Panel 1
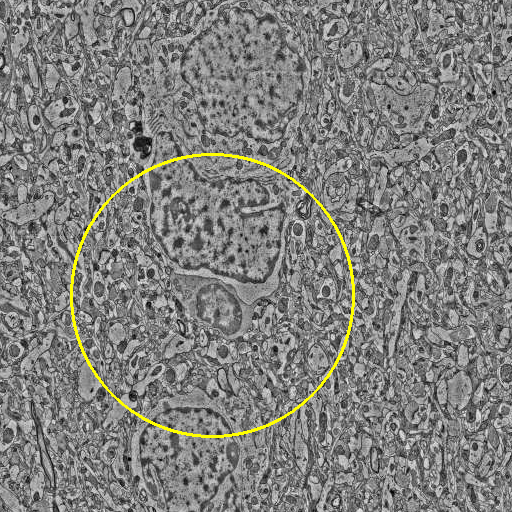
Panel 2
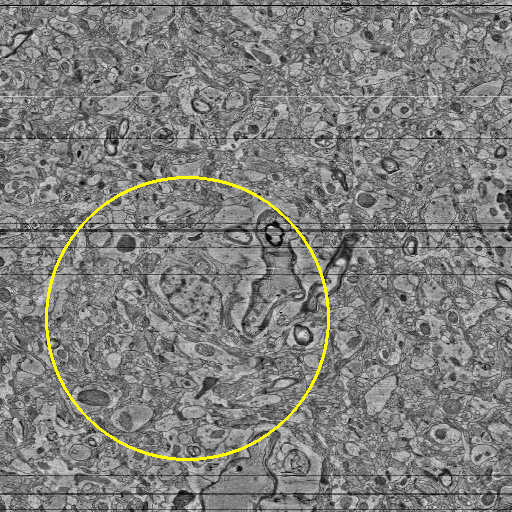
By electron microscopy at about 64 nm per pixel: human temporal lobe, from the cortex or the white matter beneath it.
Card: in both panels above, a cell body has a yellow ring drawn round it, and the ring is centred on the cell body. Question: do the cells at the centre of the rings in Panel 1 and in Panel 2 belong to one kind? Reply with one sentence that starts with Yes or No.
No, the cells centred in the rings of Panel 1 and Panel 2 are two kinds of cell.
